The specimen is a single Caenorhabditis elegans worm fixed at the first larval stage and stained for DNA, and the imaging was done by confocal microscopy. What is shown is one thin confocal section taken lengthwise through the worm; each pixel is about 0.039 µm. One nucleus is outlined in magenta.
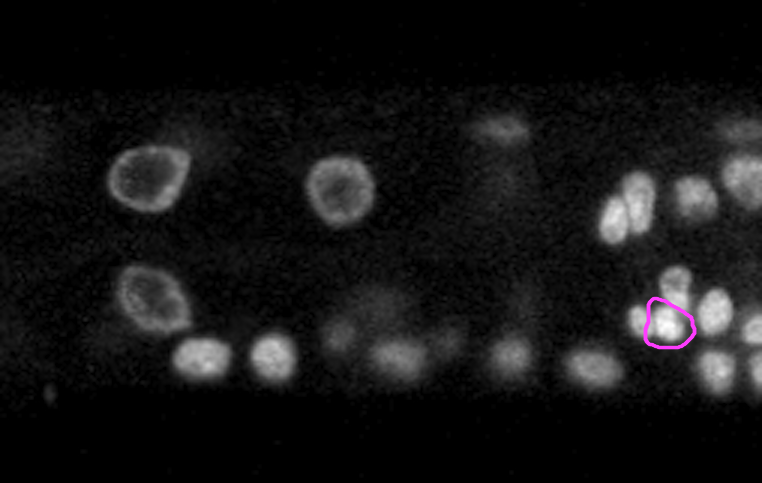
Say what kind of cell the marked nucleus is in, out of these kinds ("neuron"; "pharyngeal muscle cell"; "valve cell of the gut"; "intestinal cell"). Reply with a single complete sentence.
What is marked is the nucleus of a valve cell of the gut.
